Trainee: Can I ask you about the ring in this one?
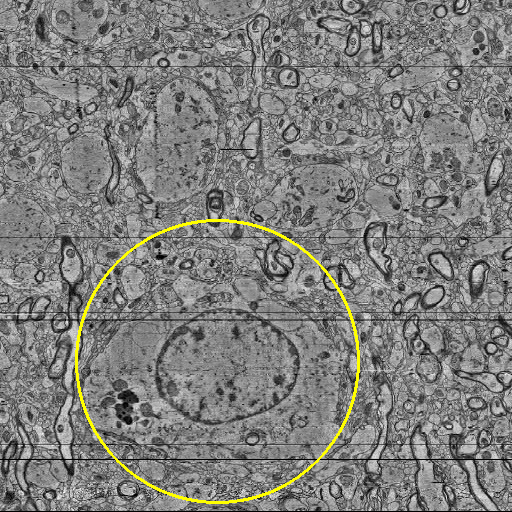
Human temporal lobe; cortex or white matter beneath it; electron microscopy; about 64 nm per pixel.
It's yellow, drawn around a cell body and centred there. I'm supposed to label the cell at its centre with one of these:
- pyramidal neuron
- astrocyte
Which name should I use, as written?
astrocyte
